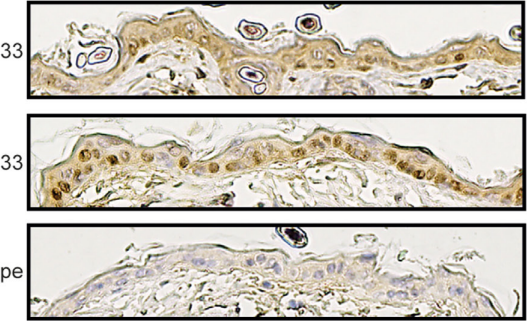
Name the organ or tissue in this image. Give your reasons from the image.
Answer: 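Epidermis. A thin surface layer a few cells thick lies over loose, pale connective tissue. Cross-sectioned hair shafts appear as ringed ovals near the surface in the top strip.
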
